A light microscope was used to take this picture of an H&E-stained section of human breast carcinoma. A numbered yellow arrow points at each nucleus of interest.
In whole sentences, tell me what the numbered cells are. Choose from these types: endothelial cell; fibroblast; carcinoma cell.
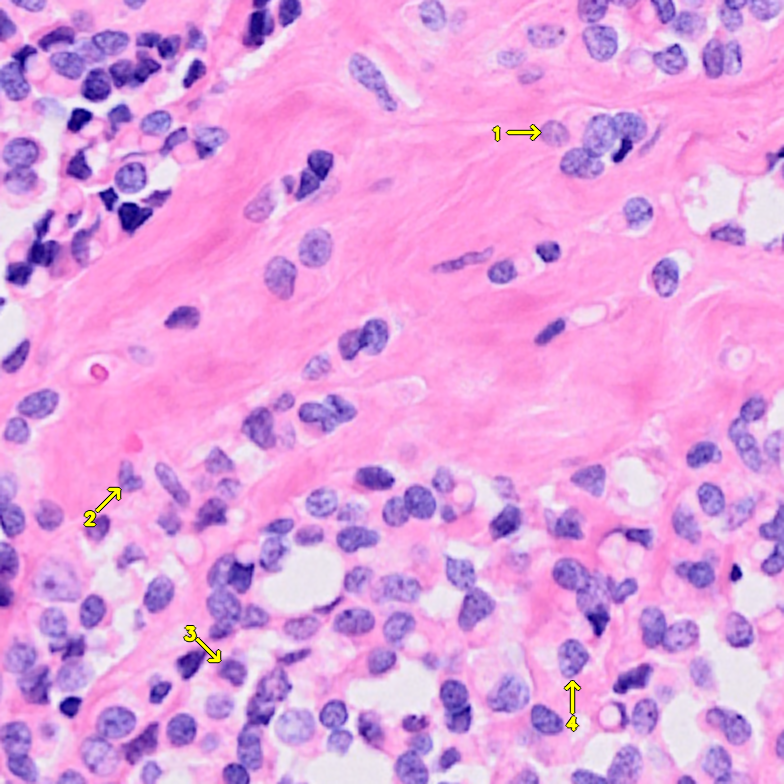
Cells 1, 3 and 4 are carcinoma cells. Cell 2 is an endothelial cell.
